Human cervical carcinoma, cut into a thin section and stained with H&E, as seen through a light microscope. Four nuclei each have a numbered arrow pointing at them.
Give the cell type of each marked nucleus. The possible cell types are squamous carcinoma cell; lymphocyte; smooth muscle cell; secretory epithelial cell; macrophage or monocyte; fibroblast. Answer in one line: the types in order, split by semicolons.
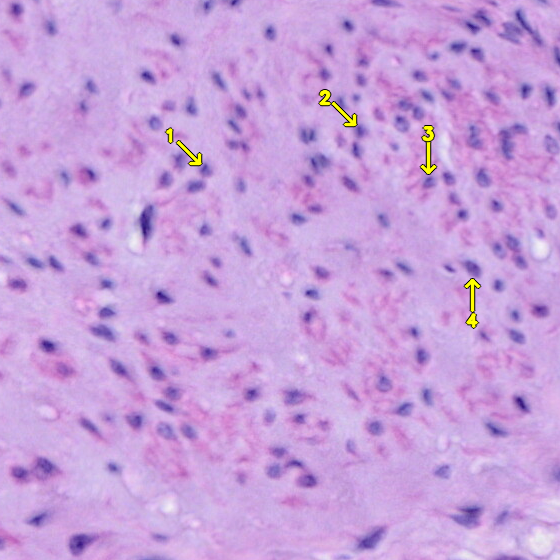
smooth muscle cell; smooth muscle cell; smooth muscle cell; fibroblast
